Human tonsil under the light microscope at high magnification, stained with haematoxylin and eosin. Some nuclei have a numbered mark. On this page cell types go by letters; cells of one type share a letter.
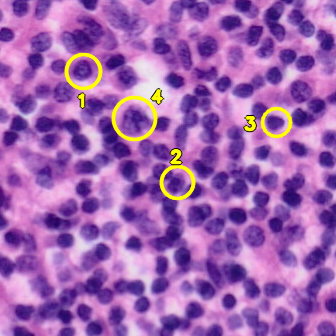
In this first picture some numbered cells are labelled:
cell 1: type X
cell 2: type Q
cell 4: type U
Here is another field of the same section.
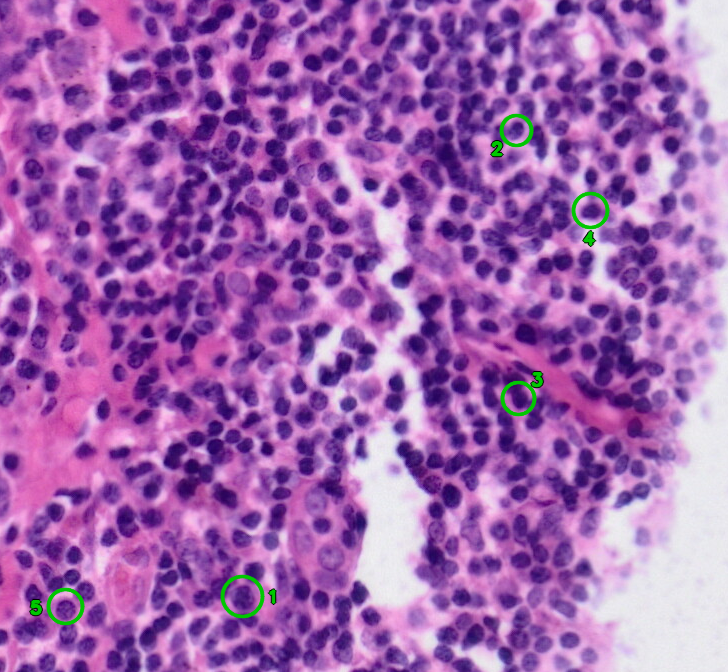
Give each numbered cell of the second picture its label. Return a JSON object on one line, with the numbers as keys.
{"1": "type U", "2": "type Q", "3": "type Q", "4": "type Q", "5": "type X"}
